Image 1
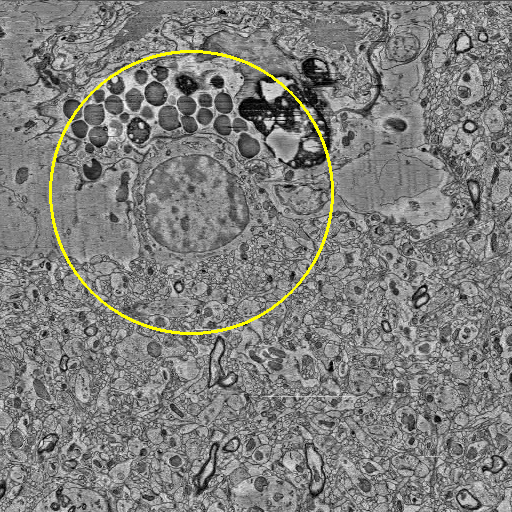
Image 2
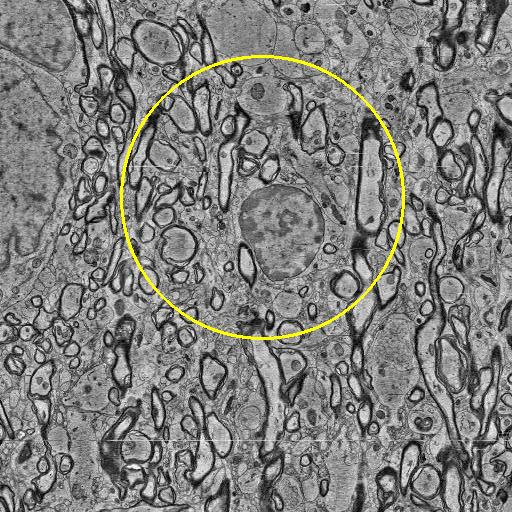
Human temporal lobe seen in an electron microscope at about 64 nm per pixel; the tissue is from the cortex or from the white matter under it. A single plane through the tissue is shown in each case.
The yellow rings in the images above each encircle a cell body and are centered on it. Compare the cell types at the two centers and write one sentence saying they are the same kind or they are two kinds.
Taken together, the two cells at the ring centers are two kinds.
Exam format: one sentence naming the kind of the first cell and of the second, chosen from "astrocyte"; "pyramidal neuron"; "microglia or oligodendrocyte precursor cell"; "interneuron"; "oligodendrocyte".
The first picture's cell is an oligodendrocyte, and the second picture's cell is a microglial cell or oligodendrocyte precursor cell.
